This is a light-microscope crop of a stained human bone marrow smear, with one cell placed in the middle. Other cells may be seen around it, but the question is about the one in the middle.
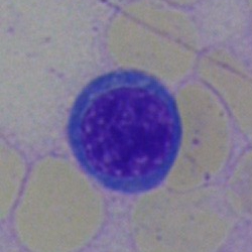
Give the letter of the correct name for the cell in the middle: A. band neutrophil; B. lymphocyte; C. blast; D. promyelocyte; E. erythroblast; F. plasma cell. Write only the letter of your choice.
E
